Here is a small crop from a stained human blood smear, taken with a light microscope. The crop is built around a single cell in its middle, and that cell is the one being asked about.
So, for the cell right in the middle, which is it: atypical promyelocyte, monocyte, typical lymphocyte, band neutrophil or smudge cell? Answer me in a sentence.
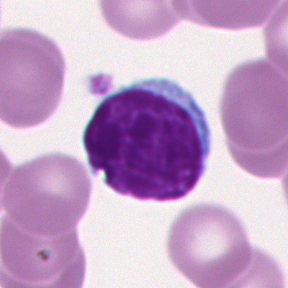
Here the cell in the middle is a typical lymphocyte.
